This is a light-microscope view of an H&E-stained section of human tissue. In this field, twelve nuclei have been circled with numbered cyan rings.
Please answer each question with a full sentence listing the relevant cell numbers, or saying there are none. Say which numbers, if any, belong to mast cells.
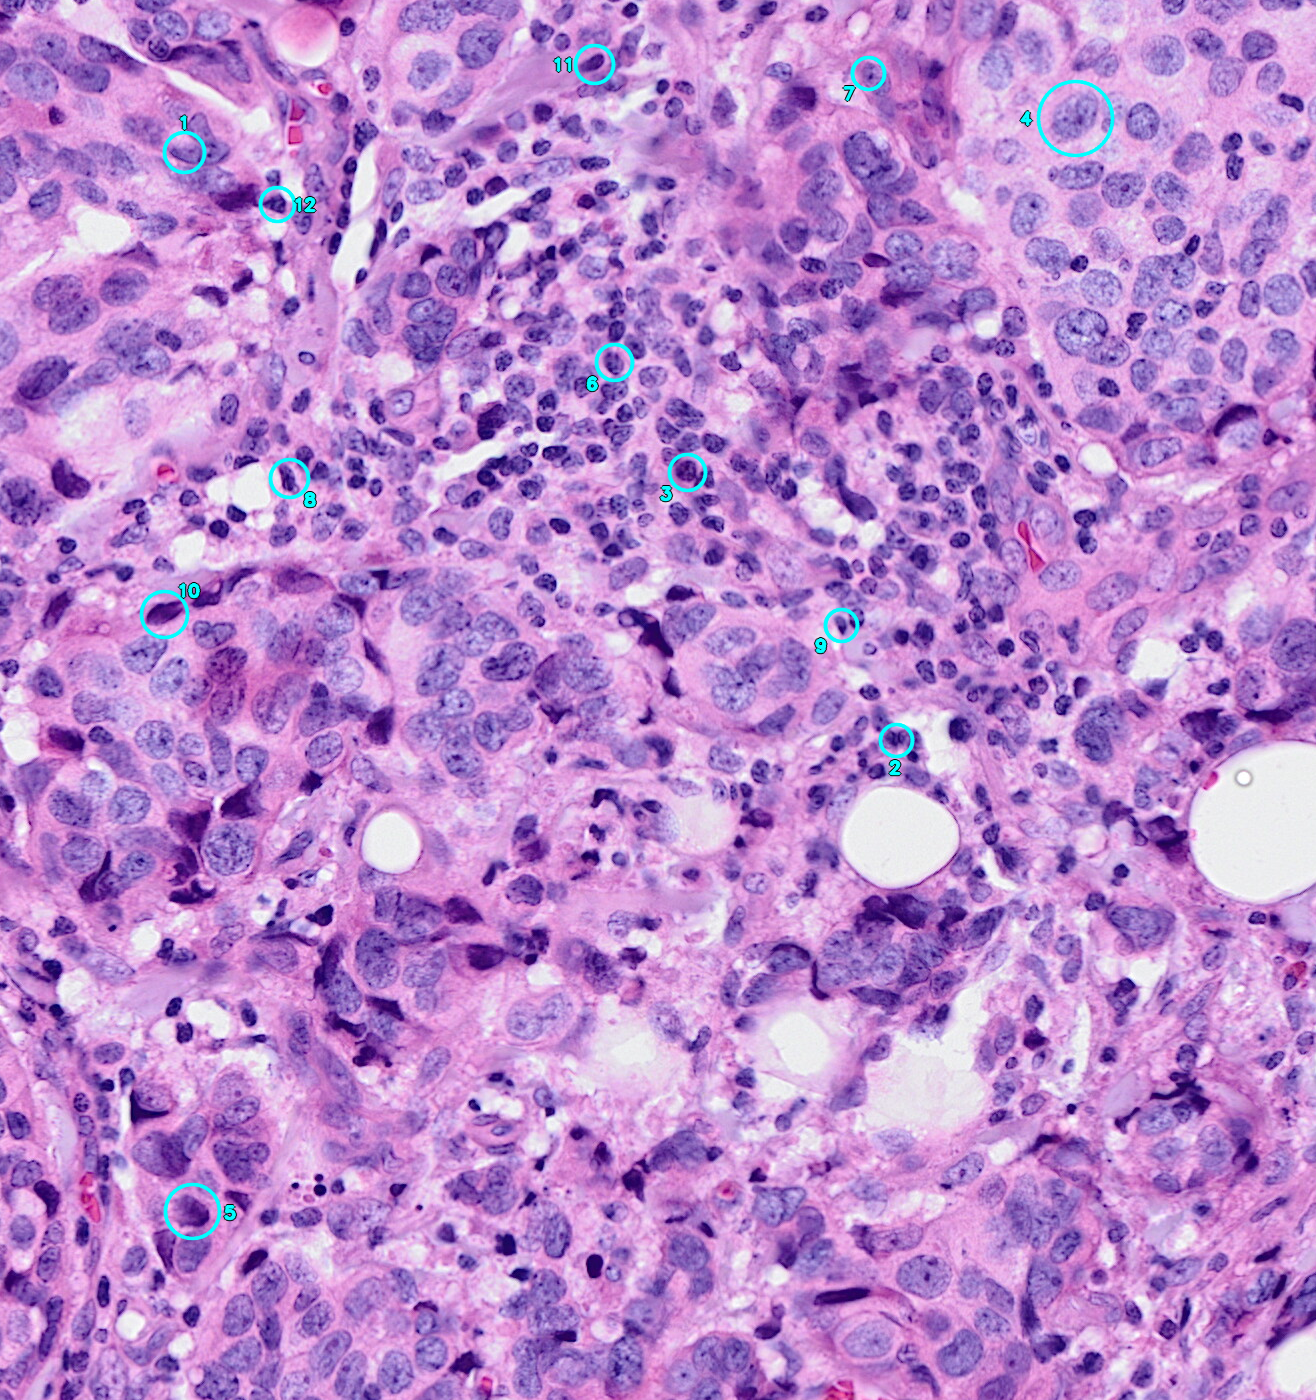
Across the numbered cells, there are no mast cells.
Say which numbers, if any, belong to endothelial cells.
Among the labelled cells, only the cell labelled 7 is an endothelial cell.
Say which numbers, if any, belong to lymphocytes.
Cells that were given the numbers 2, 3, 6, 8, 9, 11 and 12 are lymphocytes.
